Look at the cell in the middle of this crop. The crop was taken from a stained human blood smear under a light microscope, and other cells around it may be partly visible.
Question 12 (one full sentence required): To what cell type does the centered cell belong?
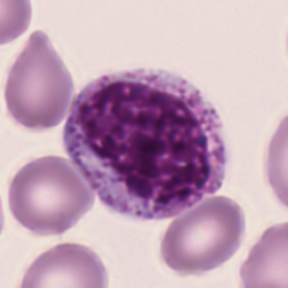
The cell in the exact centre of the crop is a metamyelocyte.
